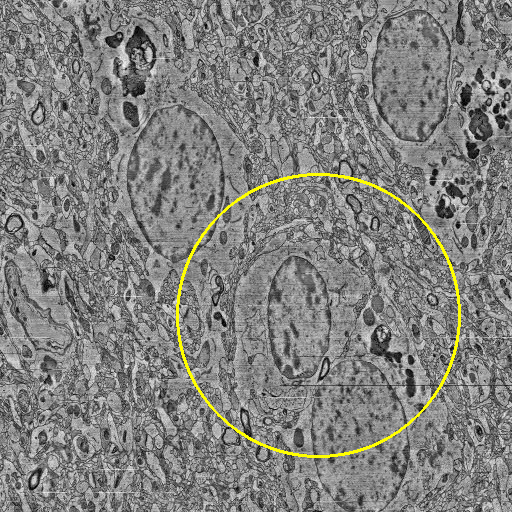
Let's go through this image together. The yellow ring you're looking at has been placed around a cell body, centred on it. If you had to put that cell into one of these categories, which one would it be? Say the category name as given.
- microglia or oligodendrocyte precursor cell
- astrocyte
astrocyte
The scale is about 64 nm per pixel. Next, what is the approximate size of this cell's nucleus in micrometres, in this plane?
In this plane, about 8 by 4 micrometres: the nucleus is clearly longer than it is wide.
